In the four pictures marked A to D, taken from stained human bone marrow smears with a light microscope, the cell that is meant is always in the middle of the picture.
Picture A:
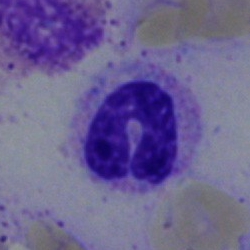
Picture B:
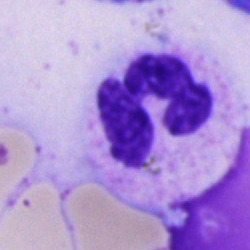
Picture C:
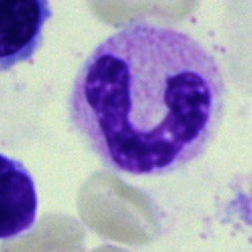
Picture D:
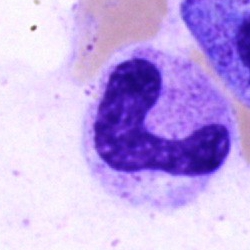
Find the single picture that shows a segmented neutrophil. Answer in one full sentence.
The cell in picture B is the segmented neutrophil.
